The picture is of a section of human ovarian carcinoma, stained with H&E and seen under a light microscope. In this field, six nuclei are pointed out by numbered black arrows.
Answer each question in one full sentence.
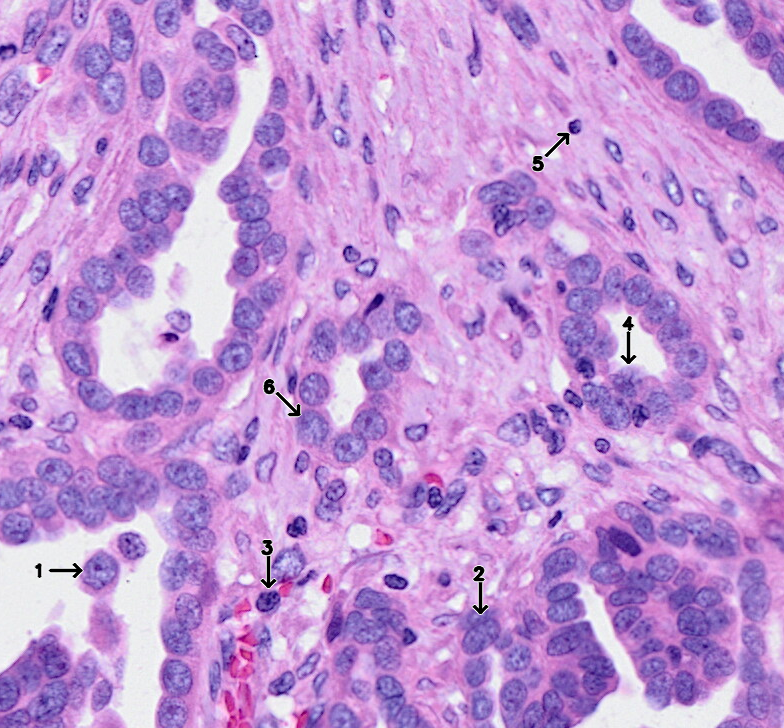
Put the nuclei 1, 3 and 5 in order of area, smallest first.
By area, going up from the smallest, they rank 5, 3, 1.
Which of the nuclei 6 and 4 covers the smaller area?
It is nucleus 4; nucleus 6 has about 1.5 times its area.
